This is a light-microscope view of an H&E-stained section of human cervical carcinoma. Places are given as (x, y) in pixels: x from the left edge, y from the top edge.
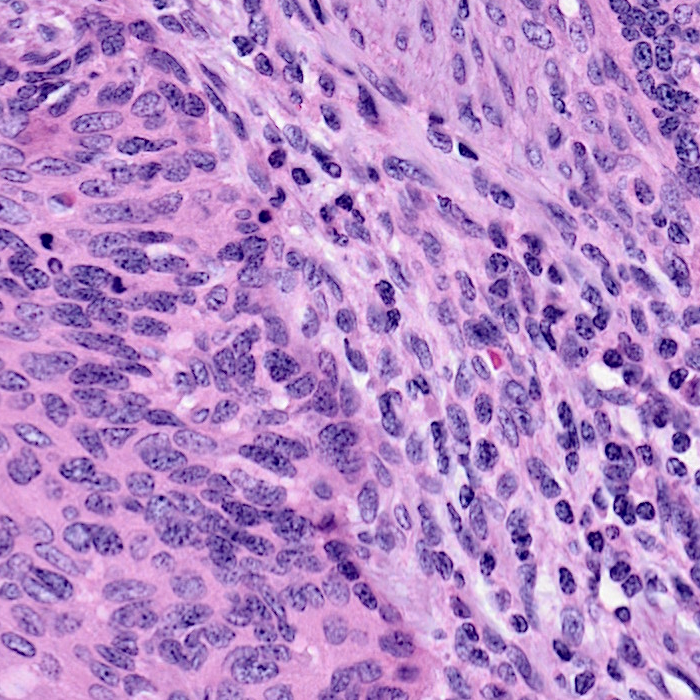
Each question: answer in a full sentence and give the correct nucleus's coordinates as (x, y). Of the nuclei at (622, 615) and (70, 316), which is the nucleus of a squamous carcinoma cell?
It is at (70, 316) that the nucleus of a squamous carcinoma cell is found.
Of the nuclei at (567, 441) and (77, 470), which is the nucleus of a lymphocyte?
Of the two nuclei present, the one at (567, 441) is within a lymphocyte.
